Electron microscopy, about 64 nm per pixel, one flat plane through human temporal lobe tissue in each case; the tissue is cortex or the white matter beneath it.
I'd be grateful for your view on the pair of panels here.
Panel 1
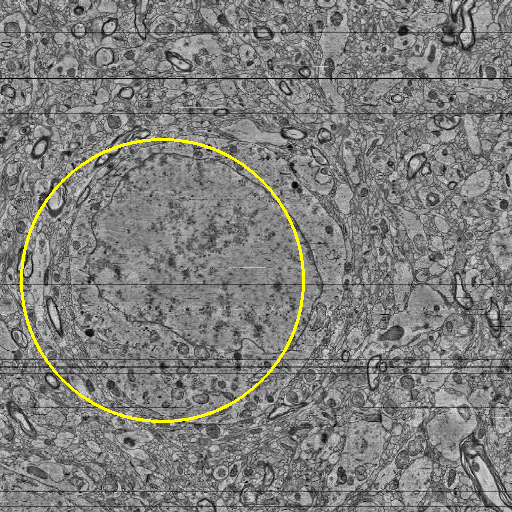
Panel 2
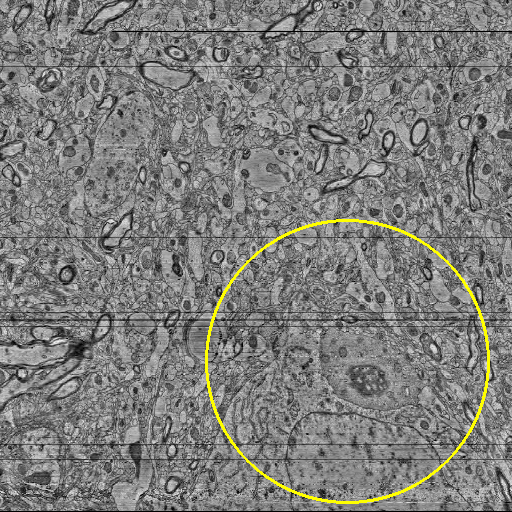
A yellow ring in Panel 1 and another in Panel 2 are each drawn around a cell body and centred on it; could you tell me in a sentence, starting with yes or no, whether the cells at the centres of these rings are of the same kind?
No, they are two kinds of cell.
